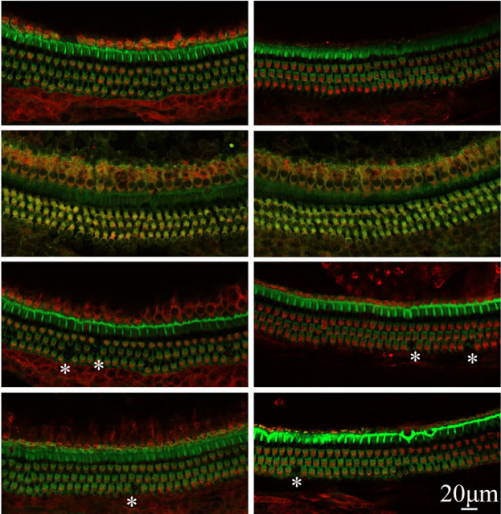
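These are whole-mount fluorescence views of the sensory epithelium, showing hair cells in orderly rows. The cells of the rows are evenly spaced in a regular mosaic, with reddish fluorescence in the cell bodies and in the surrounding tissue. In several tiles, white asterisks mark gaps in the rows where a cell is missing, breaking the regular pattern.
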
